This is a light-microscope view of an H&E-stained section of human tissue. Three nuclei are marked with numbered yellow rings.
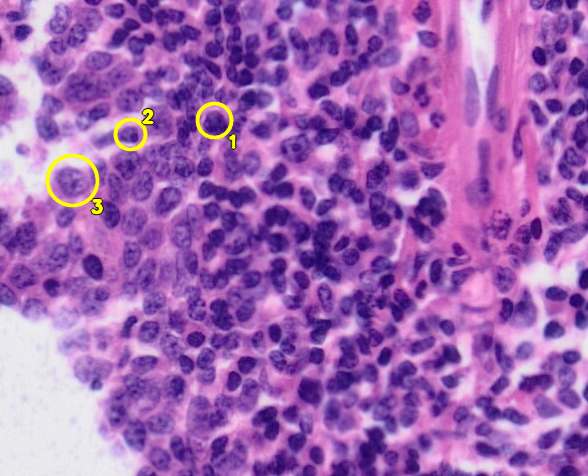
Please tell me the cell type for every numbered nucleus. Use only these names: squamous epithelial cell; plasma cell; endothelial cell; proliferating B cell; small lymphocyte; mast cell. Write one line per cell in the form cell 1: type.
cell 1: small lymphocyte
cell 2: proliferating B cell
cell 3: proliferating B cell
